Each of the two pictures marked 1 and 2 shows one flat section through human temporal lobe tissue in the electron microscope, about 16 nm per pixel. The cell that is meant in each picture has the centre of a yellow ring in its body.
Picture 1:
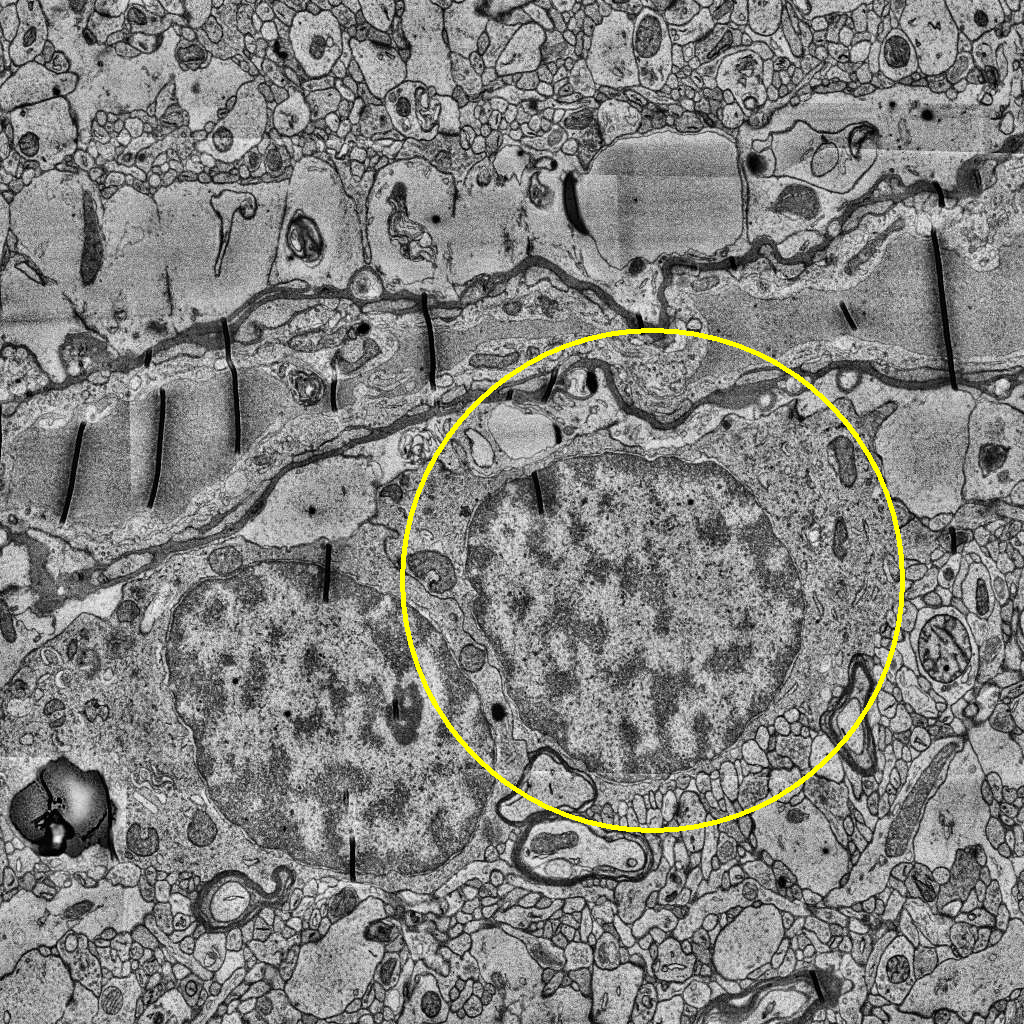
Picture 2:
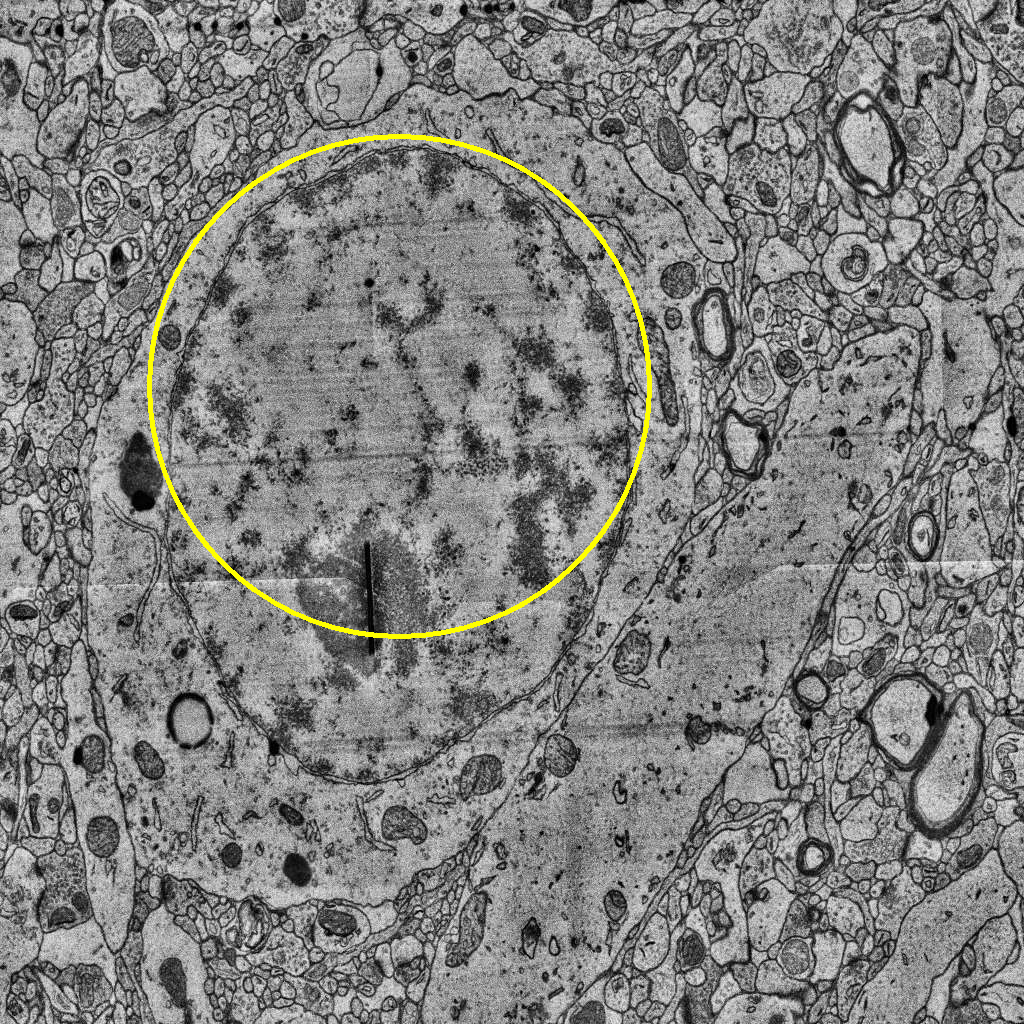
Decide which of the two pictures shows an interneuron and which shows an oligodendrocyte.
Picture 1 shows an oligodendrocyte and picture 2 shows an interneuron.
